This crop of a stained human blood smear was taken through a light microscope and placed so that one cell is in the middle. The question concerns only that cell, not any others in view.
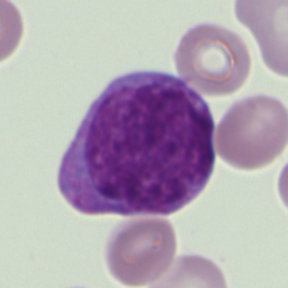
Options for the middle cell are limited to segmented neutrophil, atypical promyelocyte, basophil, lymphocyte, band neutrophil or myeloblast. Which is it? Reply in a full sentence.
The cell at the central position in this crop is an atypical promyelocyte.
